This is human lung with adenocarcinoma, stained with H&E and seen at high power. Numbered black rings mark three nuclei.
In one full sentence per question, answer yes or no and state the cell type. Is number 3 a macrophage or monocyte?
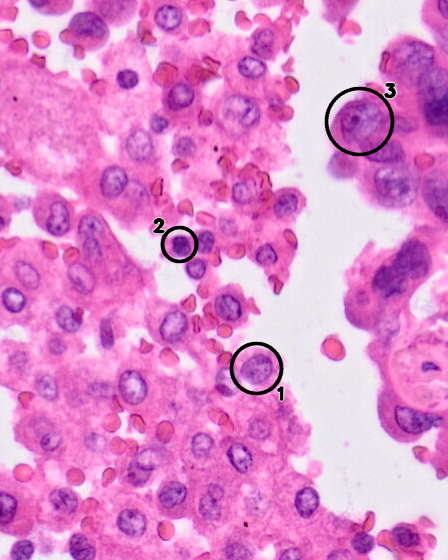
No, a carcinoma cell is what cell 3 is, not a macrophage or monocyte.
